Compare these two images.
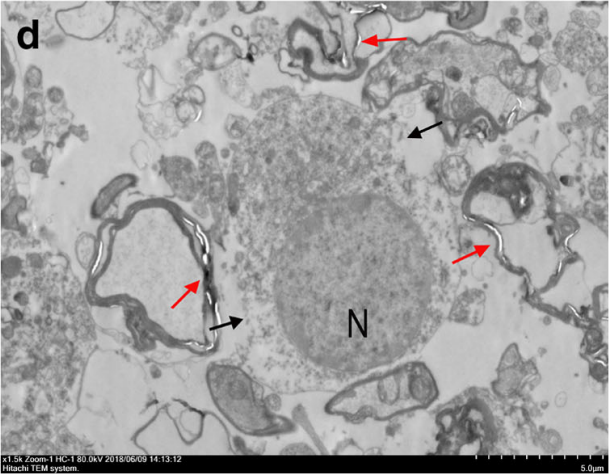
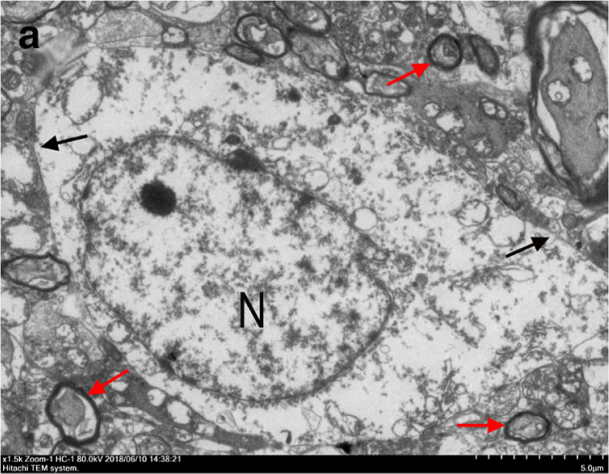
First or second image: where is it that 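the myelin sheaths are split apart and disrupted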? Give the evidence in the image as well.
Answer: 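First image: dark sheaths are loosened into wavy layers with clear clefts between them. Second image: dark sheaths form compact, even rings around axons.
Conclusion: the first image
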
